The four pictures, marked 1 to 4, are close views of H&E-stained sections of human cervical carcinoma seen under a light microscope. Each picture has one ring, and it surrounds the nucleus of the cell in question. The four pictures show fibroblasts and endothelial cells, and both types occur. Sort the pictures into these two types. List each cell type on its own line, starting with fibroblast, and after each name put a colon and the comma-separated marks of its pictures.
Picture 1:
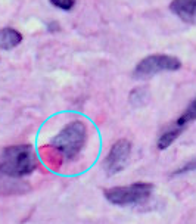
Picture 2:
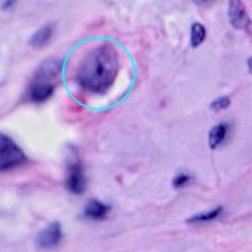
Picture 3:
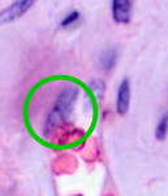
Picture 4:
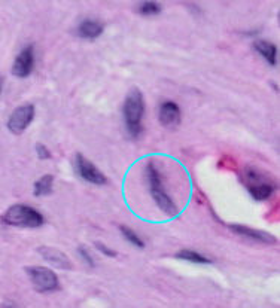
fibroblast: 4
endothelial cell: 1, 2, 3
